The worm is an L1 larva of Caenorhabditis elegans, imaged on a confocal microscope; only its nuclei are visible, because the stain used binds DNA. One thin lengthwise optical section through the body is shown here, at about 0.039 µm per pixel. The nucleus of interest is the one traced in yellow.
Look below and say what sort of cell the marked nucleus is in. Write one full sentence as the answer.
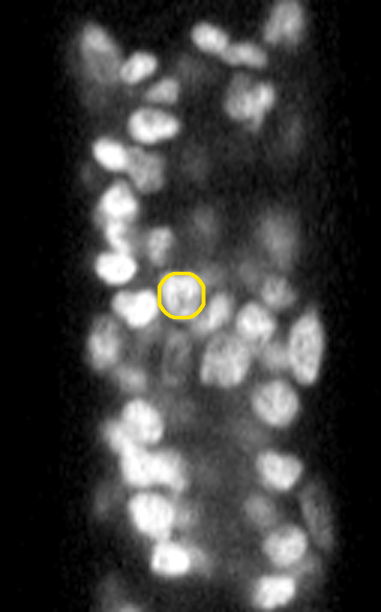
It belongs to a pharyngeal muscle cell.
